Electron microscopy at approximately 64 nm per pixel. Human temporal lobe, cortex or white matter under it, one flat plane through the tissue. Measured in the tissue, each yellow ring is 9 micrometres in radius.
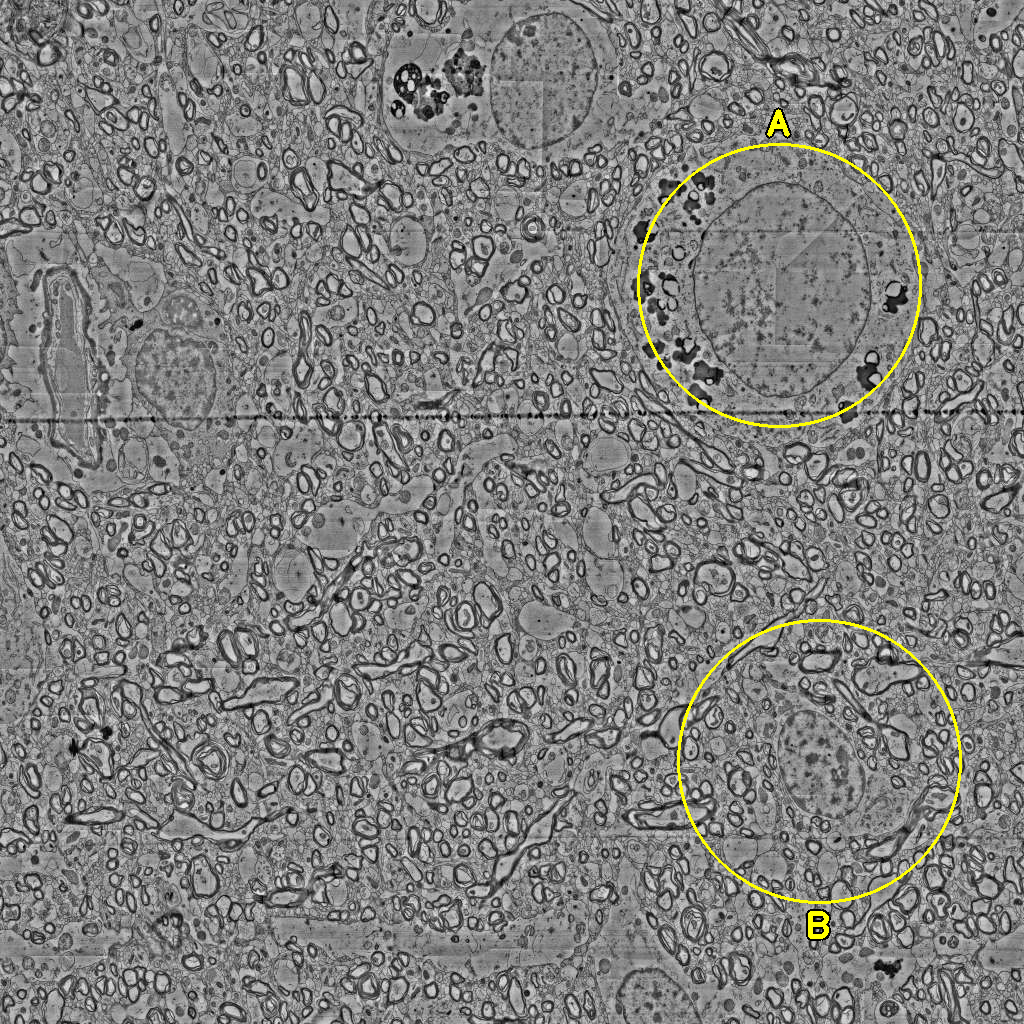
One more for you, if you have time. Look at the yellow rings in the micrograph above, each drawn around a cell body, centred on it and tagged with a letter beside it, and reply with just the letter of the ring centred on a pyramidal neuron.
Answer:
A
